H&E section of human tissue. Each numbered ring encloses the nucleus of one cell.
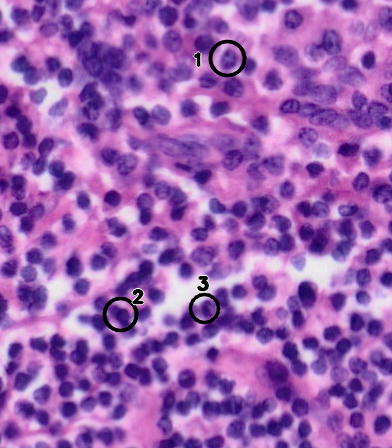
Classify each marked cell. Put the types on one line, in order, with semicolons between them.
plasma cell; small lymphocyte; small lymphocyte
